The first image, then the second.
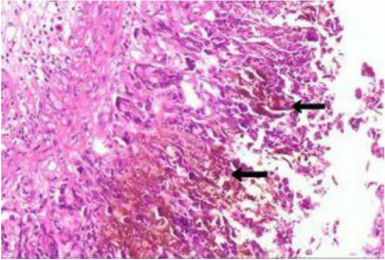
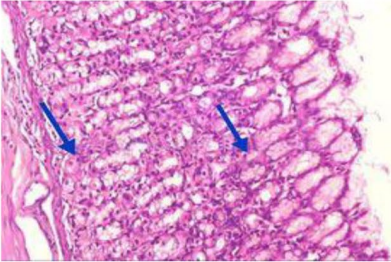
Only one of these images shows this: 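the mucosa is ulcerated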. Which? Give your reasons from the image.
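Second image: an intact mucosa with regular parallel glands reaching a continuous surface. First image: the mucosal surface is broken and fragmented with dark red hemorrhagic areas.
Hence: the first image.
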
